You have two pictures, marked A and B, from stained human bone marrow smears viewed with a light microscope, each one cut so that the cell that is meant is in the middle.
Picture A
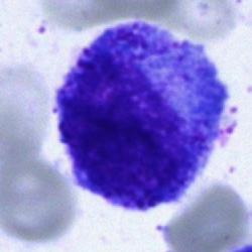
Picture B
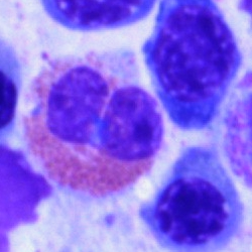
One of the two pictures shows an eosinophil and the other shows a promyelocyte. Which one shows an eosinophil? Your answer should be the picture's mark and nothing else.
B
